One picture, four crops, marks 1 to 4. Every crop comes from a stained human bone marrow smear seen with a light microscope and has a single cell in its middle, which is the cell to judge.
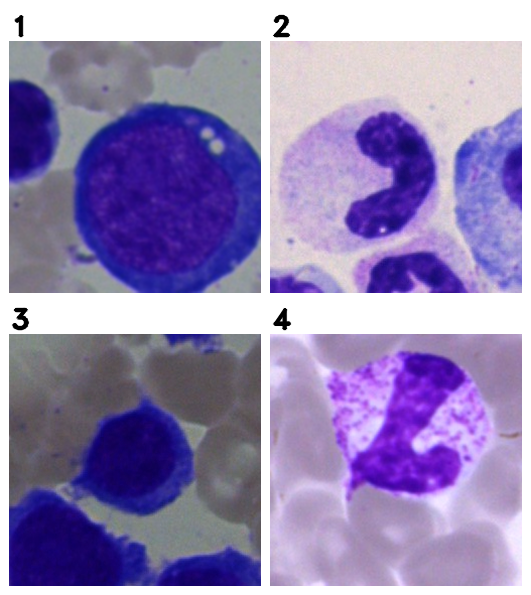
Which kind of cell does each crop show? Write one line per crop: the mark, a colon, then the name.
1: proerythroblast
2: band neutrophil
3: plasma cell
4: band neutrophil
